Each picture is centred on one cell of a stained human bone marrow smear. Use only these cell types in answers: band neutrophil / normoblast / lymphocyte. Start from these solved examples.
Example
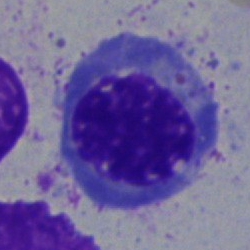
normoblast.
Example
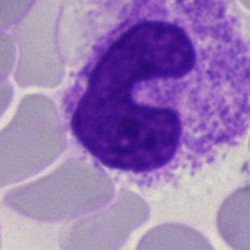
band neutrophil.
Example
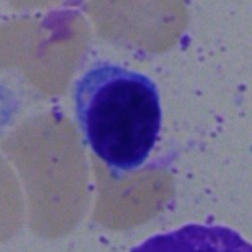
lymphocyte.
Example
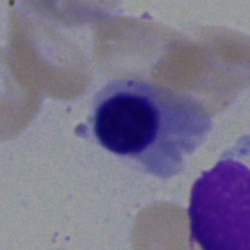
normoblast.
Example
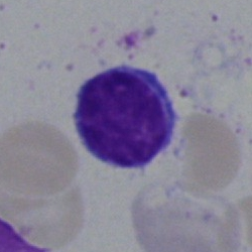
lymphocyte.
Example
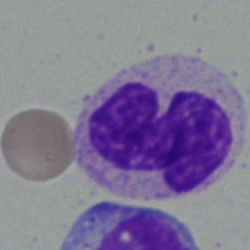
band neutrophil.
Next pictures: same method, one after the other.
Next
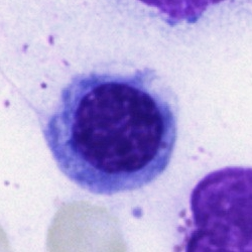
normoblast.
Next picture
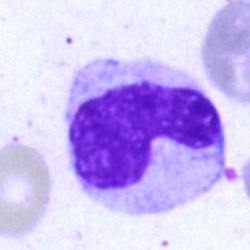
band neutrophil.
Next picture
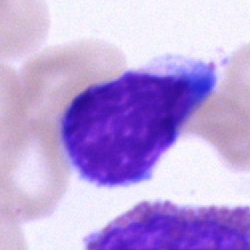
lymphocyte.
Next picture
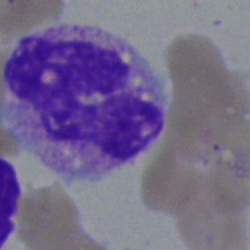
band neutrophil.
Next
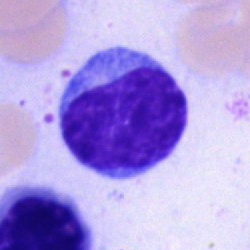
lymphocyte.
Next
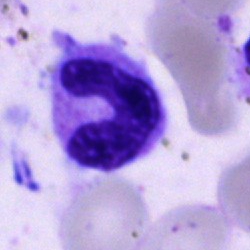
band neutrophil.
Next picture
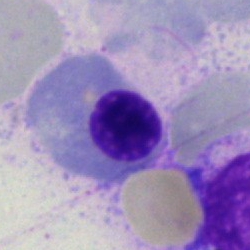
normoblast.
